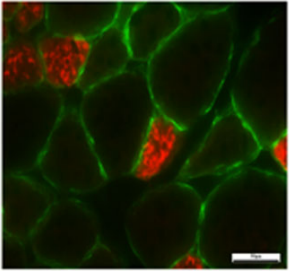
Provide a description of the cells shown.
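This is a cross-section of skeletal muscle in which the myofibers appear as large polygonal profiles, each bordered by a thin green outline. The red fibers look smaller than many of the surrounding dark ones. The fibers fit together closely in a mosaic with little space between them.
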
